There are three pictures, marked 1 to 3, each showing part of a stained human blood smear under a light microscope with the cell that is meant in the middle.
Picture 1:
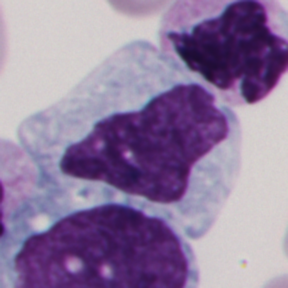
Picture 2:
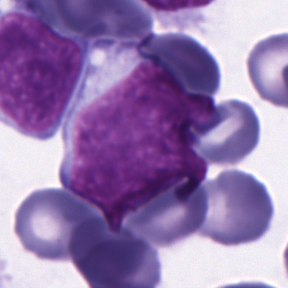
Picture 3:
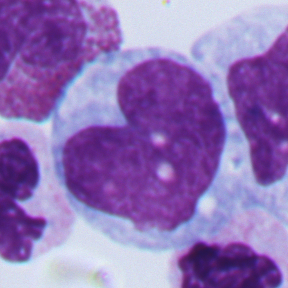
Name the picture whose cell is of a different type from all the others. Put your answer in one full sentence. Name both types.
Picture 2 differs, because its cell is a myeloblast and the rest are monocytes.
